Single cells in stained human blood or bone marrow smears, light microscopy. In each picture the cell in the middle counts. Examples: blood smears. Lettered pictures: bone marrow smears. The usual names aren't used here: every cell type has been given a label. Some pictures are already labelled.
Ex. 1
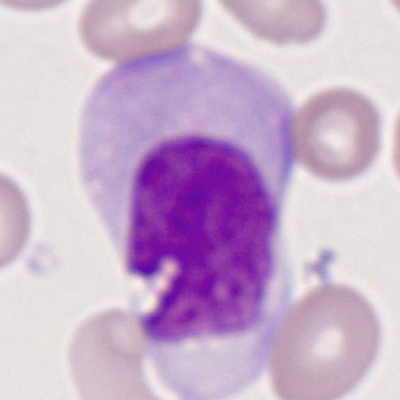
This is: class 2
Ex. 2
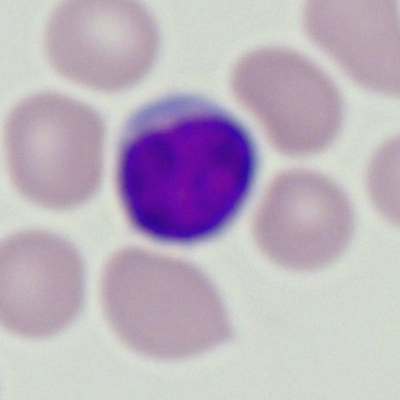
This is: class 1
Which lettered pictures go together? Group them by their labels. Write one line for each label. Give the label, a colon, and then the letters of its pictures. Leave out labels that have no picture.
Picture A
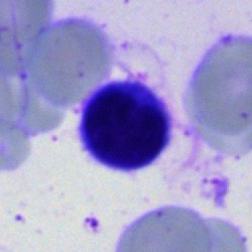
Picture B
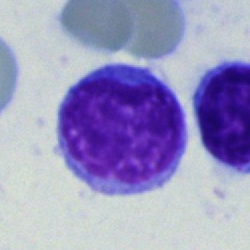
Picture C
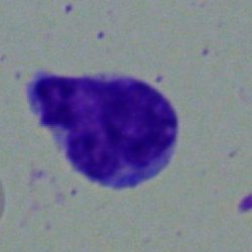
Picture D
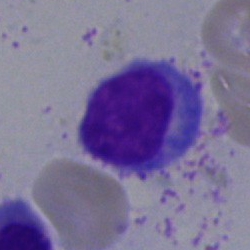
class 2: C
class 1: A, B, D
